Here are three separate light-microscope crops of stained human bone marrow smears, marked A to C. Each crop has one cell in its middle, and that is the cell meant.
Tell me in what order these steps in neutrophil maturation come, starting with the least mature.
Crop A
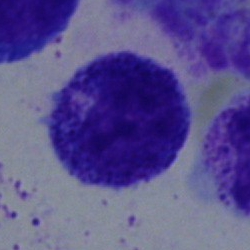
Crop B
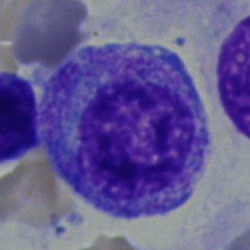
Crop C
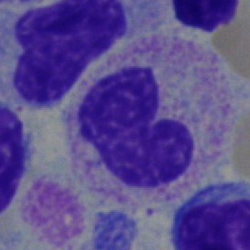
A, B, C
